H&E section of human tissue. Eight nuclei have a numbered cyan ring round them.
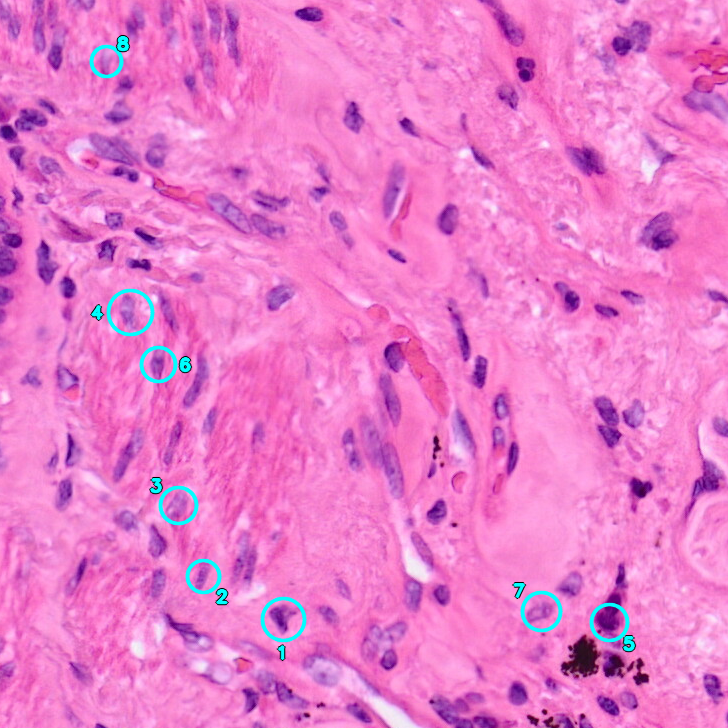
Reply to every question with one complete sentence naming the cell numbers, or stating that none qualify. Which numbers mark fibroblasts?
The cells referred to by the numbers 1 and 7 are fibroblasts.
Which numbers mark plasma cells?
Cell 5 is a plasma cell, and it is the only numbered cell that is.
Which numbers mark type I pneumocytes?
Of the numbered cells, none are type I pneumocytes.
